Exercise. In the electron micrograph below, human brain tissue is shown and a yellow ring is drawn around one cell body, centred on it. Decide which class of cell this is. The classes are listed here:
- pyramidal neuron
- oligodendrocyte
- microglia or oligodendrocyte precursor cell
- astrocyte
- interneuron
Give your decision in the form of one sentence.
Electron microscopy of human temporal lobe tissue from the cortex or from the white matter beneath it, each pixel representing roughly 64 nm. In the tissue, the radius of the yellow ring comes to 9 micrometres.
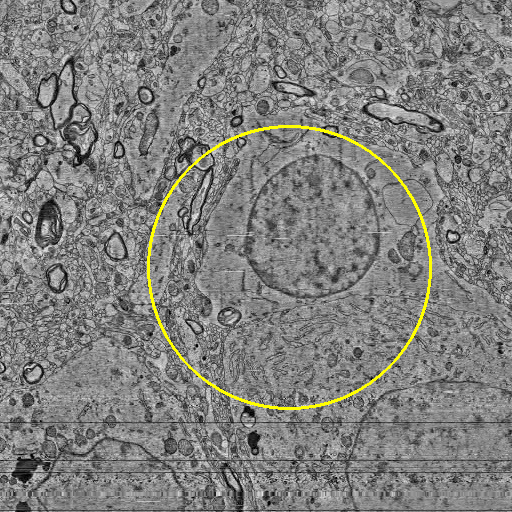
The cell body marked by the ring belongs to an astrocyte.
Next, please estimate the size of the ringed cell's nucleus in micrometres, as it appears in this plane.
The ringed cell's nucleus is about 9 micrometres across in this plane.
